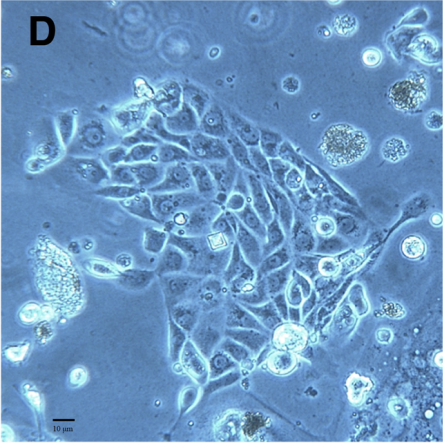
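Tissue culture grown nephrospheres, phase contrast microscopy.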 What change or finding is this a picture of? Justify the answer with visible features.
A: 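A dense patch of small, closely packed cells with elongated and polygonal outlines. Round refractile cells and debris lie scattered around the patch. That points to this answer: Proliferative foci.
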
